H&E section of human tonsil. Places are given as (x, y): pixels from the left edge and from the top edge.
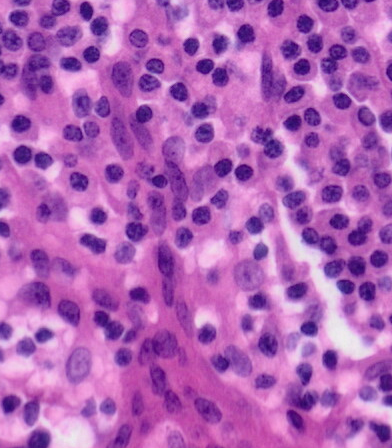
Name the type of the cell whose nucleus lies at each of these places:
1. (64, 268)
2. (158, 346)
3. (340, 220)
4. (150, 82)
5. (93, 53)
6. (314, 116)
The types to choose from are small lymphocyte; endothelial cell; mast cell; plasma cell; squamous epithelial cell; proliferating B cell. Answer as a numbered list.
1. squamous epithelial cell
2. squamous epithelial cell
3. plasma cell
4. plasma cell
5. plasma cell
6. plasma cell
